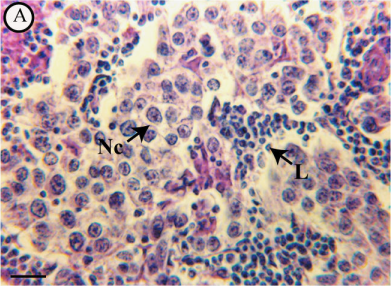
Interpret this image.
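Seminoma tissue made of sheets of large neoplastic cells with pale to clear cytoplasm and large round central nuclei, stained pink and purple. The tumour cells are fairly uniform and lie closely packed with distinct borders. Dense bands of small lymphocytes with round dark-blue nuclei and scant cytoplasm run between groups of tumour cells.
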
